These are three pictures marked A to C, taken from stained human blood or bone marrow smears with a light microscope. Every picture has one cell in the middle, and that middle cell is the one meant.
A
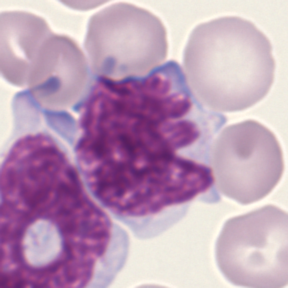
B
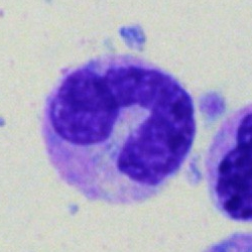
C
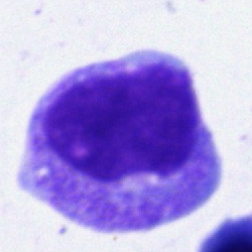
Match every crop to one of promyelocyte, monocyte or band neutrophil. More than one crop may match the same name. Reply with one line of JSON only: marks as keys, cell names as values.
{"A": "monocyte", "B": "band neutrophil", "C": "promyelocyte"}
